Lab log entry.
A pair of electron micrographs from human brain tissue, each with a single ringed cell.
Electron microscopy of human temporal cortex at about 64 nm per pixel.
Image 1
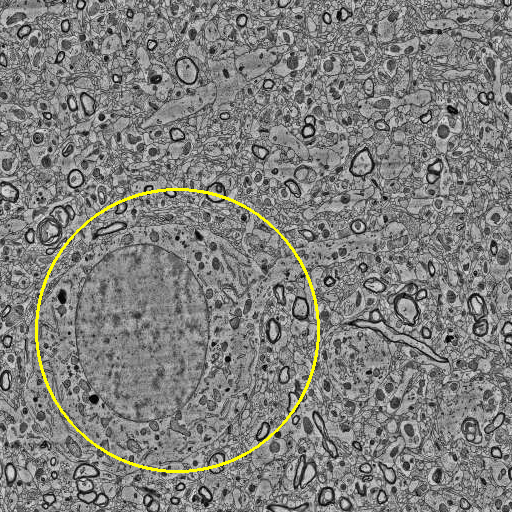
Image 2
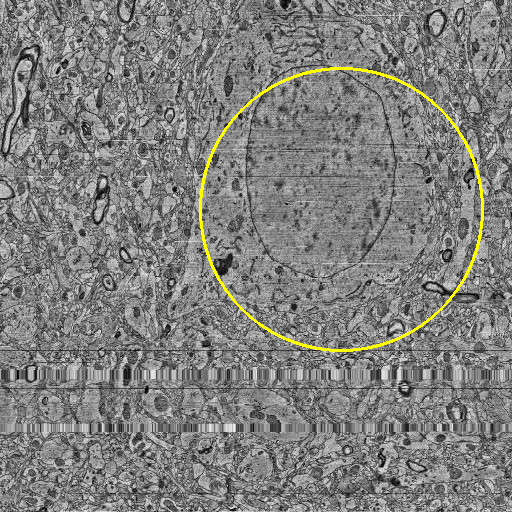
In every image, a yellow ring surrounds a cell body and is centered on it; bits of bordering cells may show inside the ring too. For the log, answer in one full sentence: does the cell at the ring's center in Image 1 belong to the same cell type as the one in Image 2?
No, the cells at the ring centers in Image 1 and Image 2 are of separate types.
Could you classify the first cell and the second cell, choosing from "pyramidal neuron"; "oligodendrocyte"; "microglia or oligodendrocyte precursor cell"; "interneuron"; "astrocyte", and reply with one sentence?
The second cell is a pyramidal neuron, while the first is an interneuron.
